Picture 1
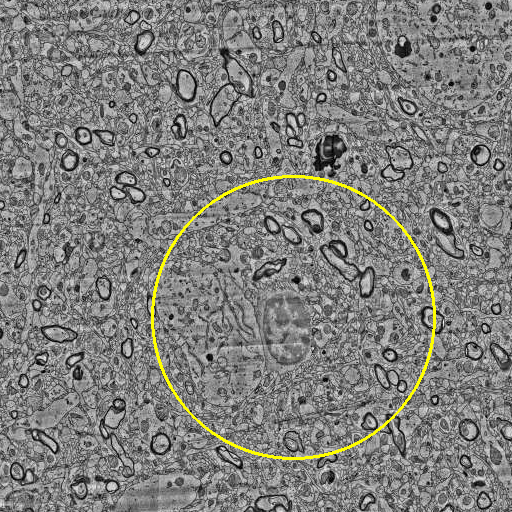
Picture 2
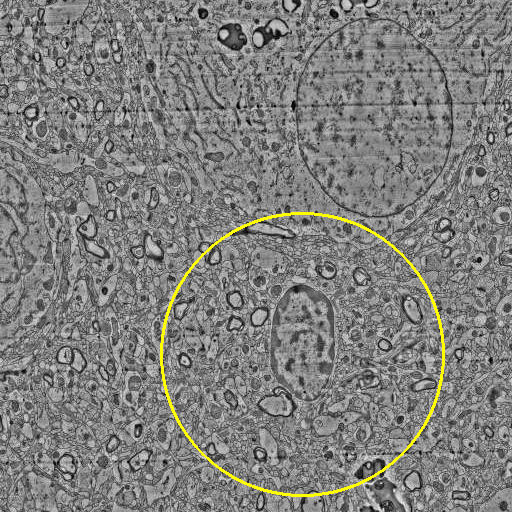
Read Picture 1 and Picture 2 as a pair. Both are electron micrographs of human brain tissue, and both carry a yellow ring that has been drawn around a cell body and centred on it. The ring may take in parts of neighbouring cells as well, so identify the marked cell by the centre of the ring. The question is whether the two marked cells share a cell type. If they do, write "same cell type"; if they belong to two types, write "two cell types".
two cell types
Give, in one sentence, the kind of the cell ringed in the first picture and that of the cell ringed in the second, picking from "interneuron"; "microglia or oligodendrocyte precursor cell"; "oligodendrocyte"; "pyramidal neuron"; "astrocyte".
For the first picture it is an oligodendrocyte; for the second, a microglial cell or oligodendrocyte precursor cell.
